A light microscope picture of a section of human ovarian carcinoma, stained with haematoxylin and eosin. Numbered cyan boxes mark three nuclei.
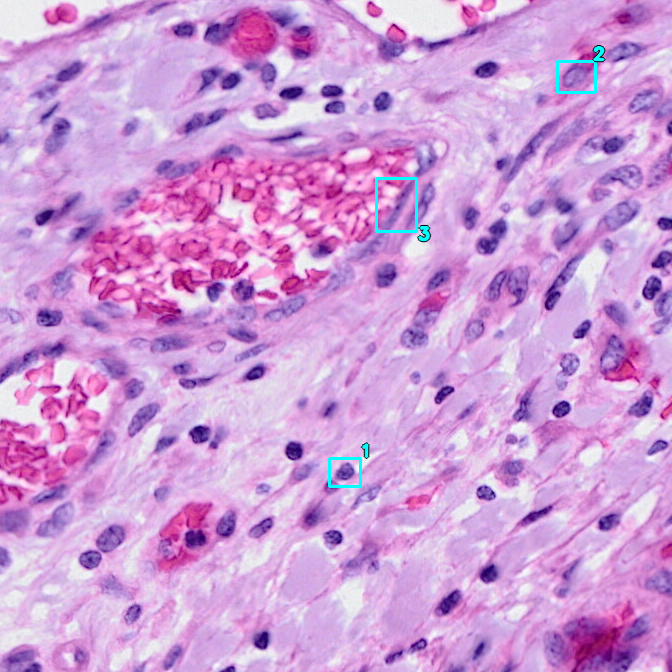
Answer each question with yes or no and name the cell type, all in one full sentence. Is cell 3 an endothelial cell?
Yes, the cell indicated by number 3 is an endothelial cell.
